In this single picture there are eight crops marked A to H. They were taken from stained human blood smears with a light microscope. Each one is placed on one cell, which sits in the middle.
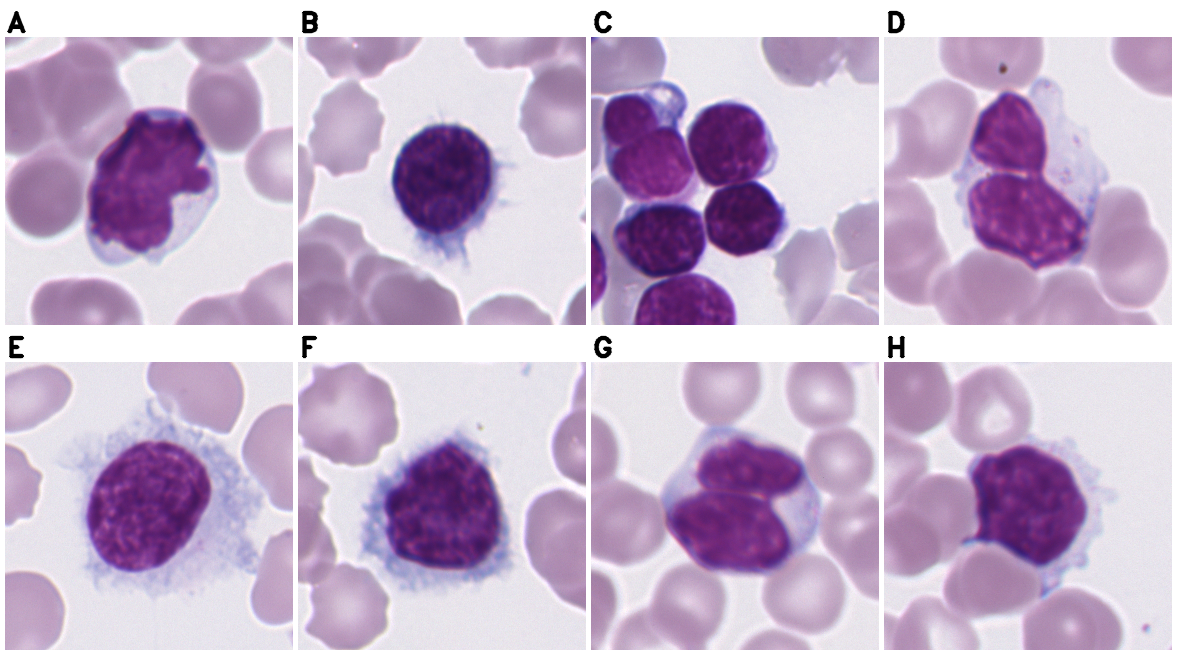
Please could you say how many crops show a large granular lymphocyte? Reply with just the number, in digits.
4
